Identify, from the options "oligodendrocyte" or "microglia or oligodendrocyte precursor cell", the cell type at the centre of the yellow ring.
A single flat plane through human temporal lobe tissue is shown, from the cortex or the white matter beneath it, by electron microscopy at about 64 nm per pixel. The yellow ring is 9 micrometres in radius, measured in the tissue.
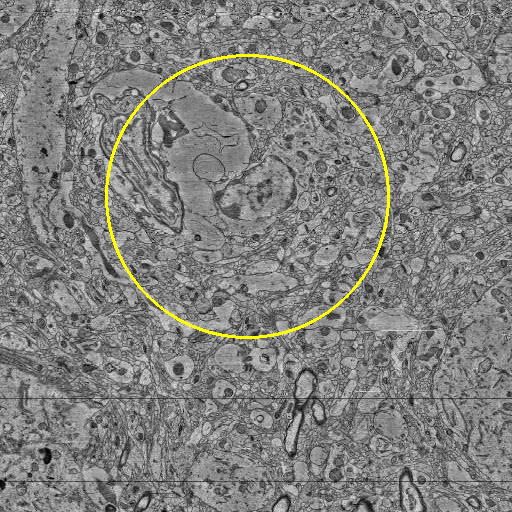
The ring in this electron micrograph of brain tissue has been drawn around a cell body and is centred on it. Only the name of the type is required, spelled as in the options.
microglia or oligodendrocyte precursor cell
